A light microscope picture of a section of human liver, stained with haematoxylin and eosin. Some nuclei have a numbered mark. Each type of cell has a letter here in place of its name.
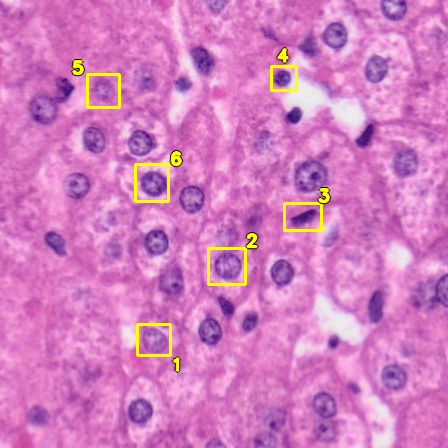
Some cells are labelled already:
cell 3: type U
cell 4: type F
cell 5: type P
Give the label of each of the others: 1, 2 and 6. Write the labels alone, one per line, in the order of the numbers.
type P
type P
type P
